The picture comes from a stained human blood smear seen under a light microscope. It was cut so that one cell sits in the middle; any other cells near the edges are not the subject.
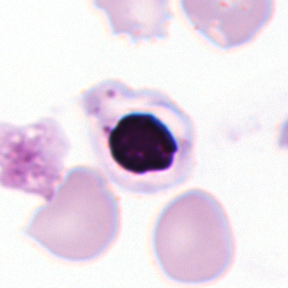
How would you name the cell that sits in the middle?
normoblast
